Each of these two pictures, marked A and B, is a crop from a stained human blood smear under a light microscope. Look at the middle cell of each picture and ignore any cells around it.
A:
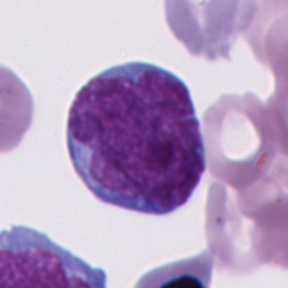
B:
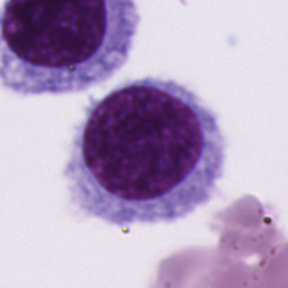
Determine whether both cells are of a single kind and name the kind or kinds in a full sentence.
No, crop A carries a myeloblast at its centre, and crop B carries a hairy cell.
